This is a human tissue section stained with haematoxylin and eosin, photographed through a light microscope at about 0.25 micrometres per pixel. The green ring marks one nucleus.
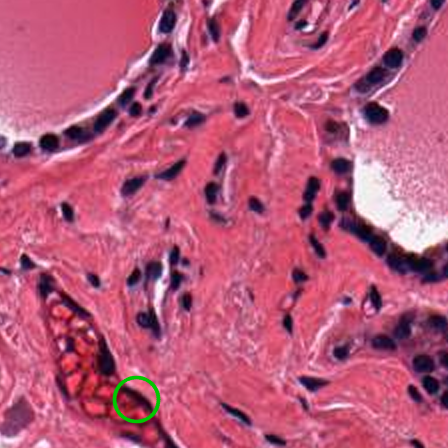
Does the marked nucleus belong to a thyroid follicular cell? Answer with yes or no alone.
no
